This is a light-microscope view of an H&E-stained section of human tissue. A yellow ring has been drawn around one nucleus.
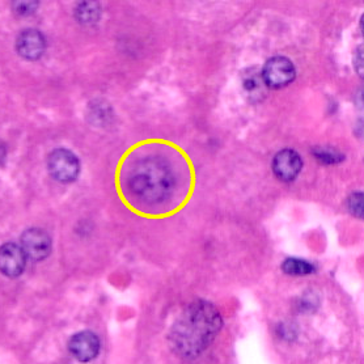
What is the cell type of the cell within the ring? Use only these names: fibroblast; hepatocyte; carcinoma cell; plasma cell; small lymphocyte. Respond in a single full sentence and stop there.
Right, so the cell within the ring is a hepatocyte, to answer that.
